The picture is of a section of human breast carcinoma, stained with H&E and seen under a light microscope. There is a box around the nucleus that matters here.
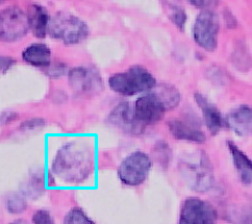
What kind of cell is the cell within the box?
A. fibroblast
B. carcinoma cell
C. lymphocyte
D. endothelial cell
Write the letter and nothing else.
B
